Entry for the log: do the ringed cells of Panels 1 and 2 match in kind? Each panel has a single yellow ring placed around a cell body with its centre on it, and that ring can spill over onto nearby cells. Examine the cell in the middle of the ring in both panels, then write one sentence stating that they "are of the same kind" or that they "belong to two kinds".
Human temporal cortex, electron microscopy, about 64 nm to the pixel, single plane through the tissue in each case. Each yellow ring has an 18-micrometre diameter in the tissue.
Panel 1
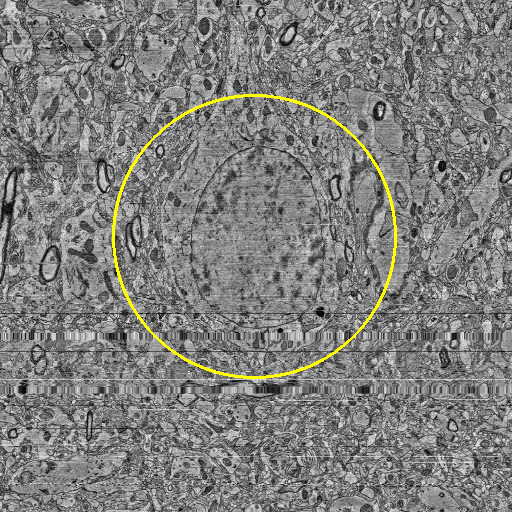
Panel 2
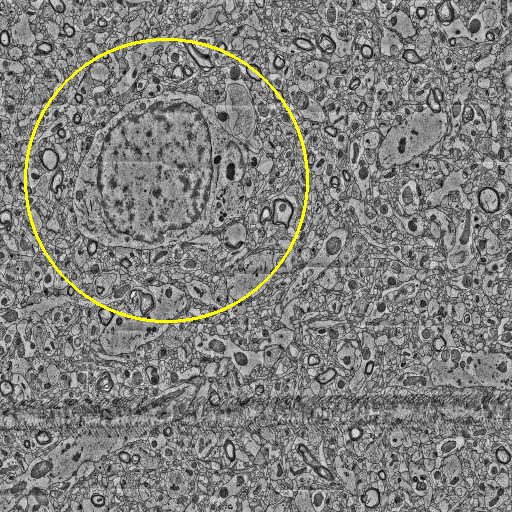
The centre cell of Panel 1's ring and that of Panel 2's ring belong to two kinds.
